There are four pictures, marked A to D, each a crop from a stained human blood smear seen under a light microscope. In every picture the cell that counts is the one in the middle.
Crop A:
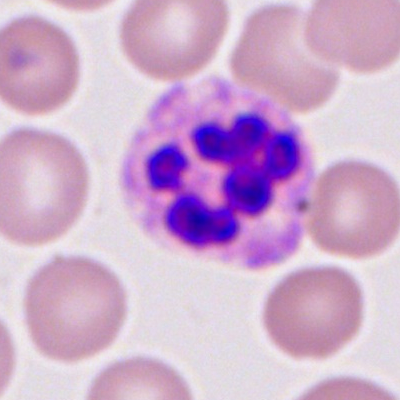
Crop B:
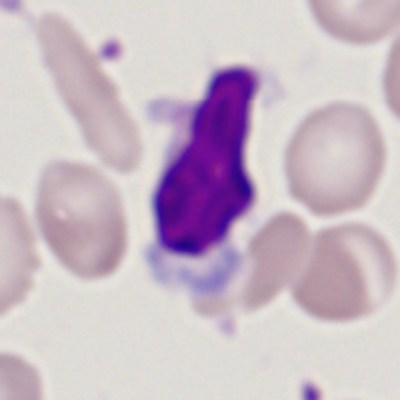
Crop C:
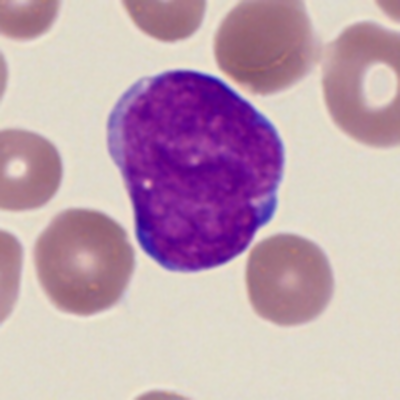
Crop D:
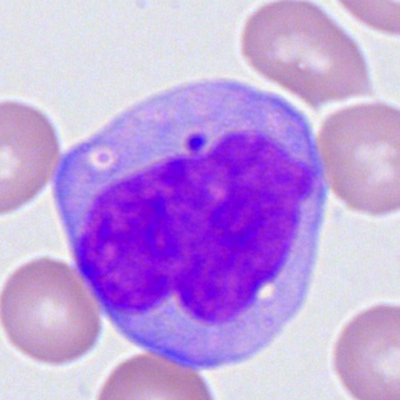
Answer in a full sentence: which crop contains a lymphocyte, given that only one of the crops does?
Within this set, crop B is the one with a lymphocyte at its center.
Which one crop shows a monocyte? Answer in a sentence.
Of the cells presented, the one in crop D is a monocyte.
